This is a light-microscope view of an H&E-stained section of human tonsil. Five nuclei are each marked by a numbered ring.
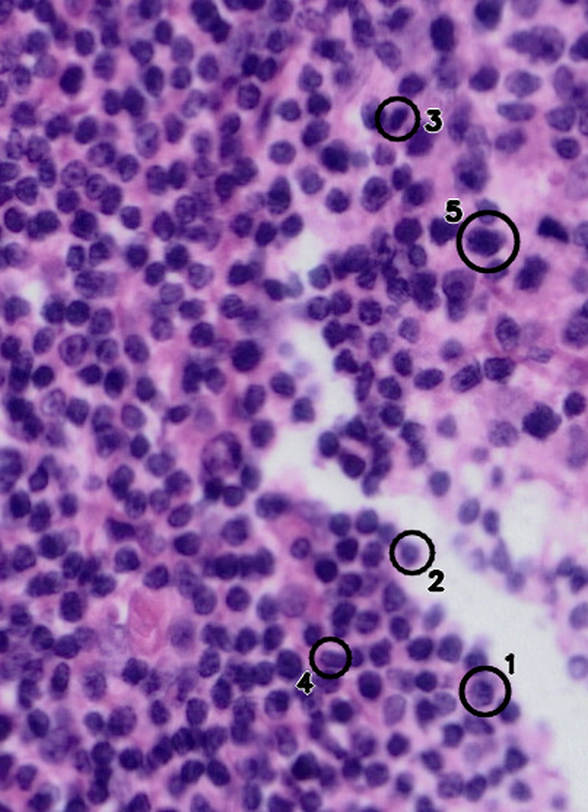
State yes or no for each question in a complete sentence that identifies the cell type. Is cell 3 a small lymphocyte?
No, not a small lymphocyte: the cell with number 3 is a proliferating B cell.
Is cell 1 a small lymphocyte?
Yes, the cell marked with number 1 is a small lymphocyte.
